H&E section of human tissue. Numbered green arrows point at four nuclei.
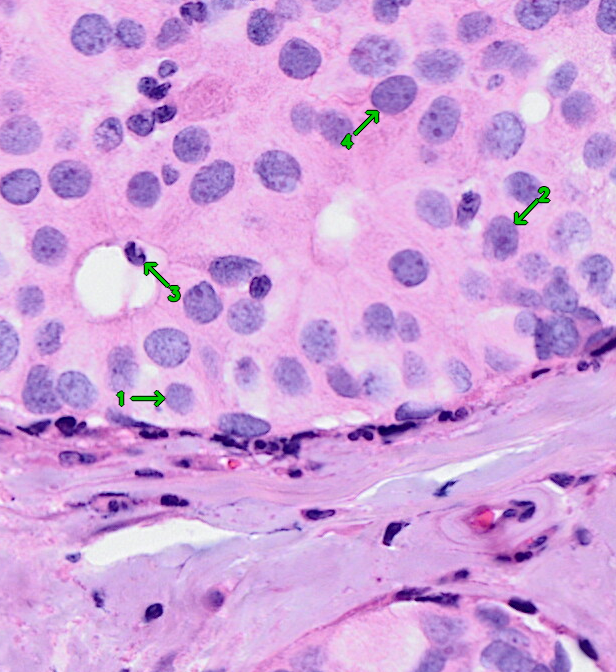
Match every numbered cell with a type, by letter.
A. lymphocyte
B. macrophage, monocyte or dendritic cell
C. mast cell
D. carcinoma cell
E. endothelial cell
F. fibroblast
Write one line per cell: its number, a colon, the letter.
1: D
2: D
3: A
4: D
